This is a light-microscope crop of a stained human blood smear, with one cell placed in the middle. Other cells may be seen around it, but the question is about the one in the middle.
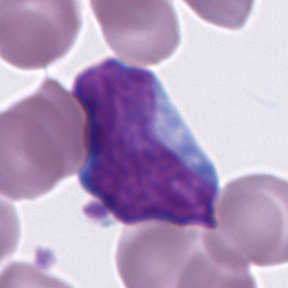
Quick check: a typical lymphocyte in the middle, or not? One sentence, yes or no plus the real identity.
No, in this crop the central cell is a myeloblast instead of a typical lymphocyte.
